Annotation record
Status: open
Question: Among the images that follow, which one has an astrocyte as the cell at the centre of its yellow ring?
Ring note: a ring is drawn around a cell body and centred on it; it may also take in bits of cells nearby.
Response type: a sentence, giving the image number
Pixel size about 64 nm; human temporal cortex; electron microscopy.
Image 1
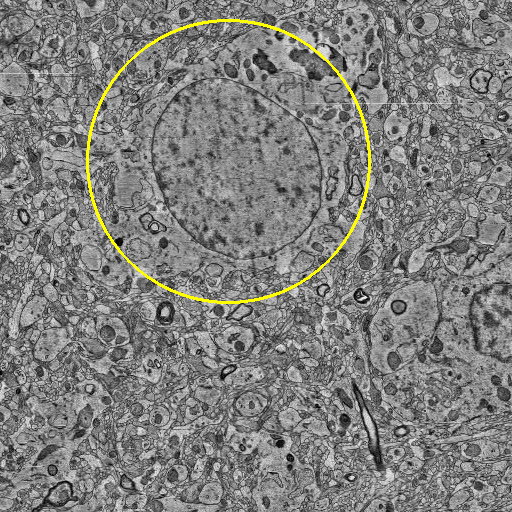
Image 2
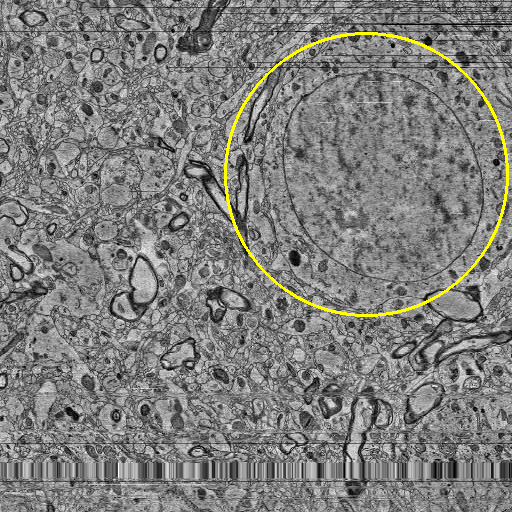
Image 1 shows it at the centre of its ring.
